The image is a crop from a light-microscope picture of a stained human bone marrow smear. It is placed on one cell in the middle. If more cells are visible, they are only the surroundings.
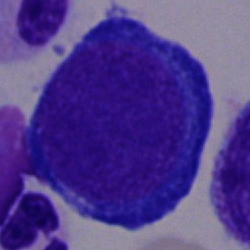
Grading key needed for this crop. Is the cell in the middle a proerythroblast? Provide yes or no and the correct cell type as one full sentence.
Yes, the middle of the crop is occupied by a proerythroblast.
